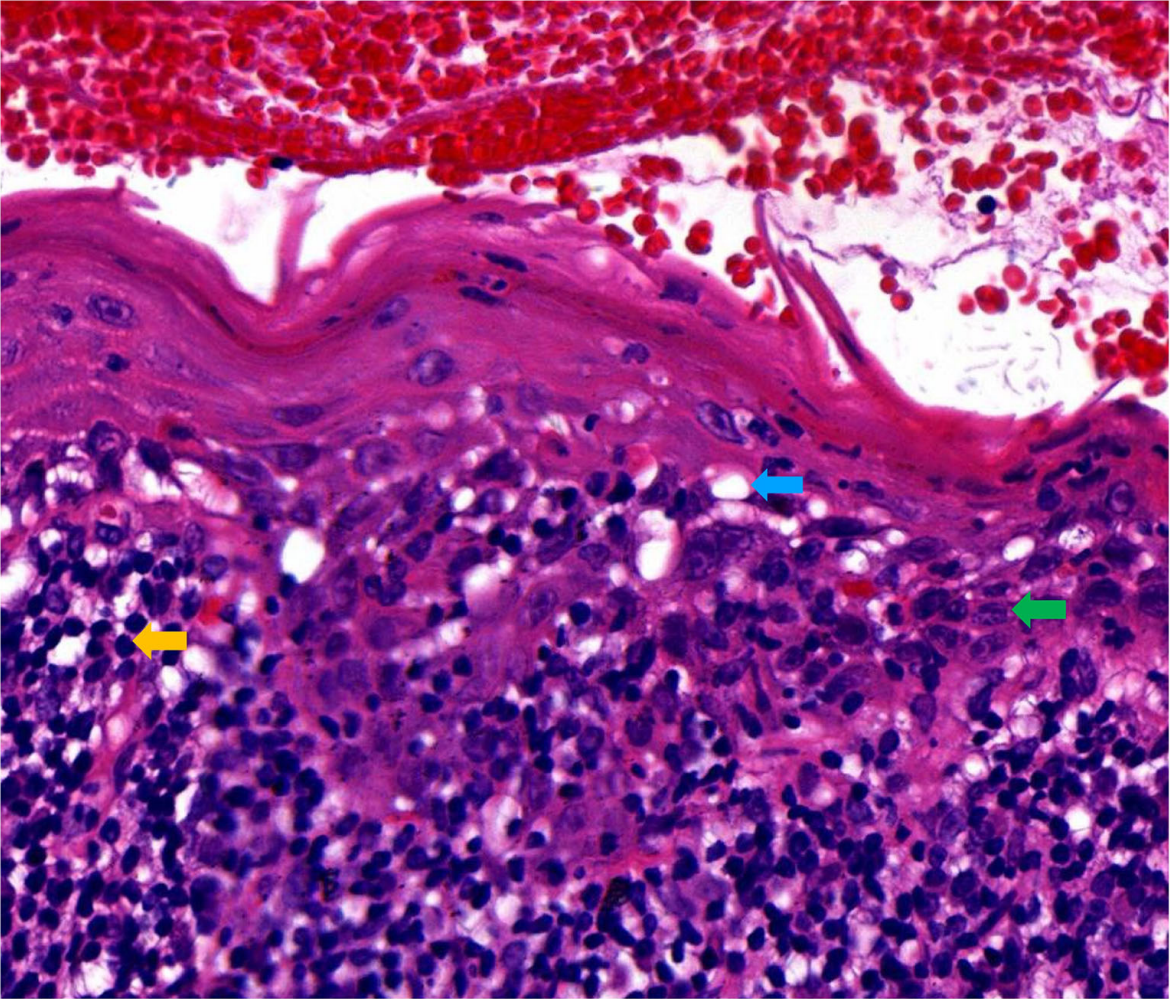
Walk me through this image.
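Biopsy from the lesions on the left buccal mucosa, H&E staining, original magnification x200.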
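The lower layers of the epithelium contain many clear, rounded vacuoles, and the boundary with the underlying tissue is blurred. A dense band of inflammatory cells fills the tissue below and extends into the lower epithelium. These cells are mostly small, with round, dark purple nuclei and scant cytoplasm, with scattered cells that have more cytoplasm around the nucleus.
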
